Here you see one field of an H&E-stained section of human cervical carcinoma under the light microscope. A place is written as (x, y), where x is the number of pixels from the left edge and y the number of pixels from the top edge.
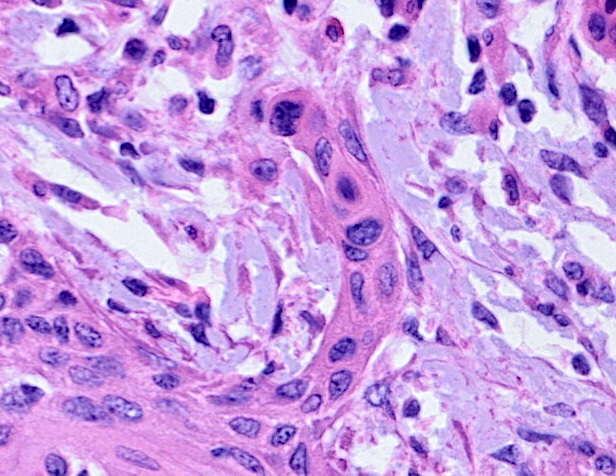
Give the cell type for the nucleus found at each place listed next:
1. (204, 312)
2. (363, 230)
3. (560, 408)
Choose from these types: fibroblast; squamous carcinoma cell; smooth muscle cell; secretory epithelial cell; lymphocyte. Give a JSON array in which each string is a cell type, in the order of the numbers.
["lymphocyte", "squamous carcinoma cell", "fibroblast"]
